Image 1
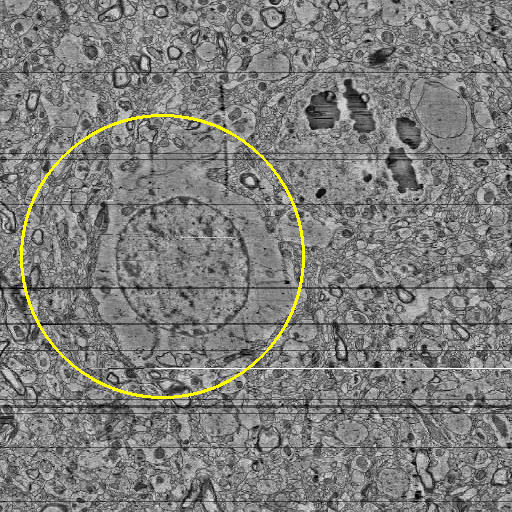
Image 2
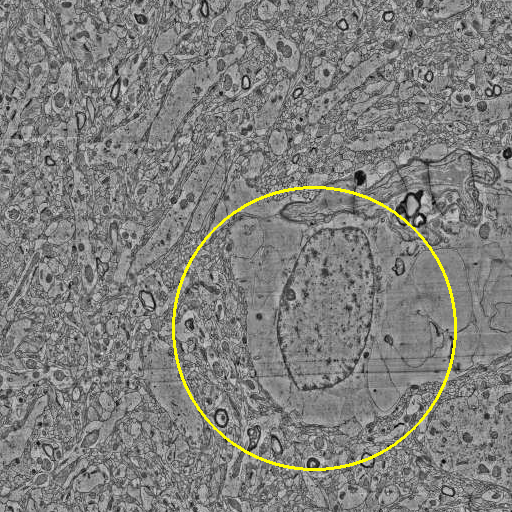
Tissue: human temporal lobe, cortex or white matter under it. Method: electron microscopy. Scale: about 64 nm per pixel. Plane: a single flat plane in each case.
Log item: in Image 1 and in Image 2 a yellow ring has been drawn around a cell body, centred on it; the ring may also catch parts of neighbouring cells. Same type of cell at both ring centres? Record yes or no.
yes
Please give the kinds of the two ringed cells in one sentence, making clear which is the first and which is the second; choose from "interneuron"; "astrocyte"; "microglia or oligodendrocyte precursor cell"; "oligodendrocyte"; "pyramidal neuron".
In both pictures the ring is centred on an astrocyte.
